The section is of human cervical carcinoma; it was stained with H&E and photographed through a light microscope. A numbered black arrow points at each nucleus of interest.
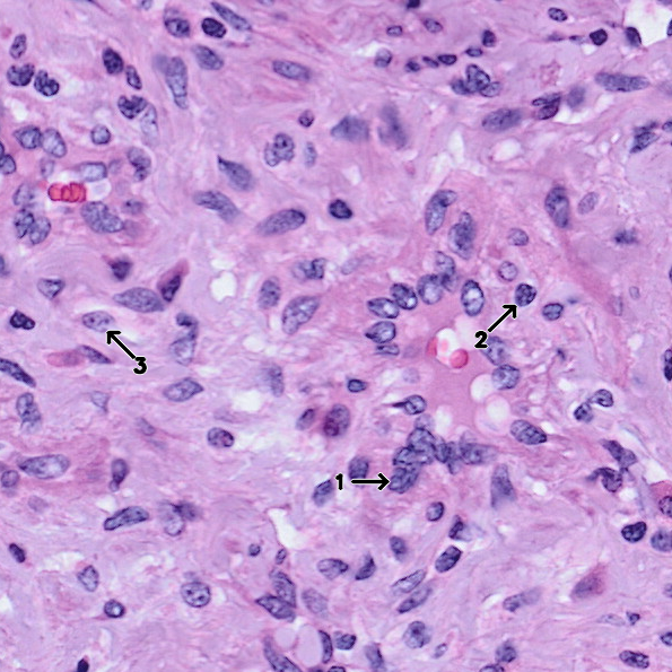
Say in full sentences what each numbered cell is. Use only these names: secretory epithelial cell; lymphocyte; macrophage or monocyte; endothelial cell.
Cell 1 is an endothelial cell. Cell 2 is a lymphocyte. Cell 3 is a macrophage or monocyte.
